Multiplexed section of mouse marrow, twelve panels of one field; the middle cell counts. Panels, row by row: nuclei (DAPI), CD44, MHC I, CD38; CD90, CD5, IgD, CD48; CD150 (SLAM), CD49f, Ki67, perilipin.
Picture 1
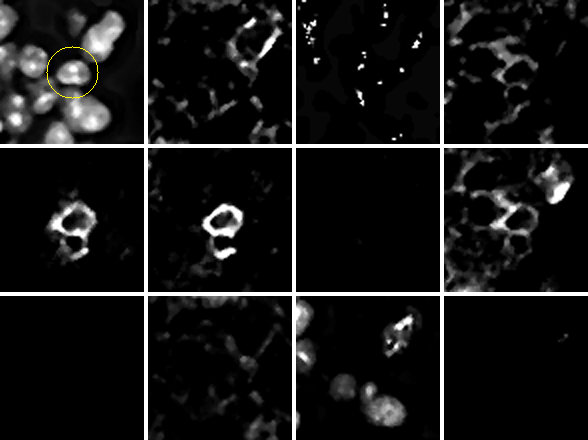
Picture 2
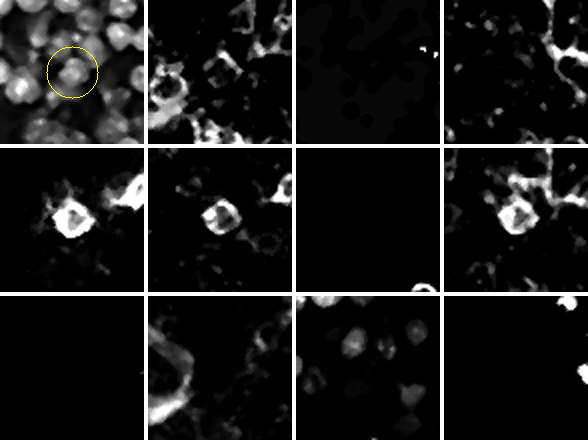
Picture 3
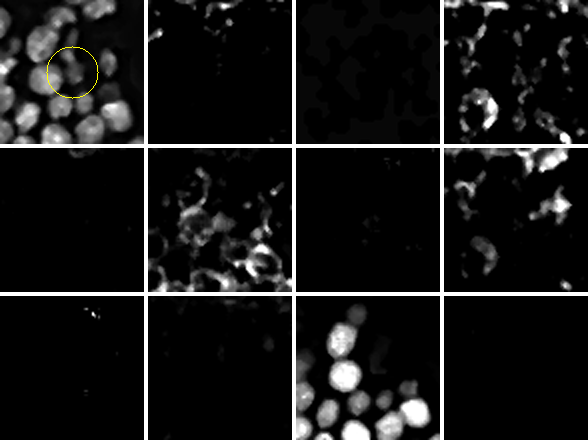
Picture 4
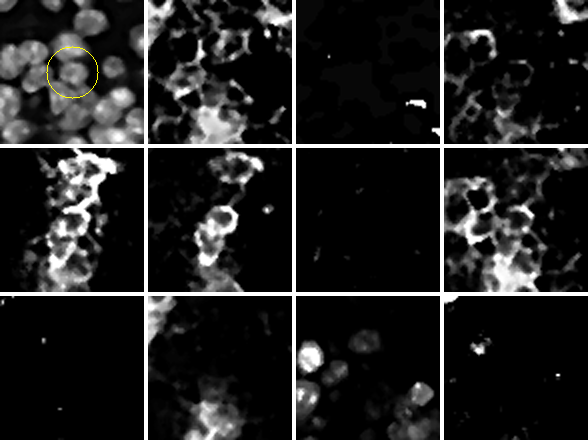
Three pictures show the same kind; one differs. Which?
Picture 3: a B cell, while the others are T cells.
